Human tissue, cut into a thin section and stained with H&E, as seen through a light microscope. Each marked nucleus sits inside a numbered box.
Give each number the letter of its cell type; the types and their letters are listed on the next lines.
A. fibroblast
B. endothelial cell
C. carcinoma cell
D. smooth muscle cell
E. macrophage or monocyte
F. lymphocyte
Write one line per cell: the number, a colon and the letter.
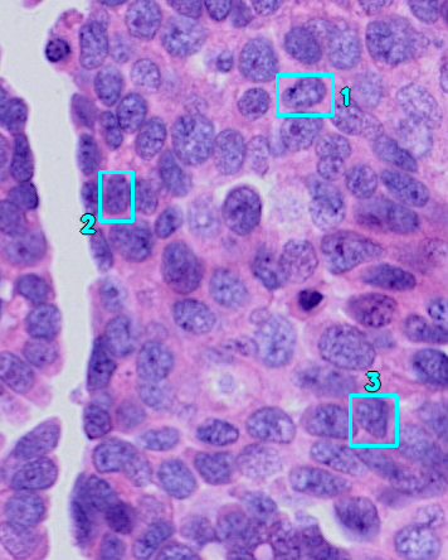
1: E
2: C
3: C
